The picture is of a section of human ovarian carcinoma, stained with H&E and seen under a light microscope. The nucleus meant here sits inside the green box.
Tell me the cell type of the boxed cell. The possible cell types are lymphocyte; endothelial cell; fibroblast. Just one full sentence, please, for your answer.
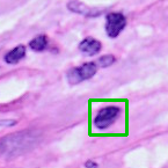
Microscopically, the boxed cell is categorized as a lymphocyte.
